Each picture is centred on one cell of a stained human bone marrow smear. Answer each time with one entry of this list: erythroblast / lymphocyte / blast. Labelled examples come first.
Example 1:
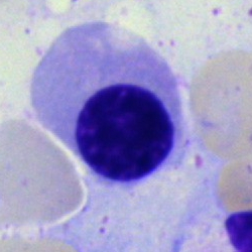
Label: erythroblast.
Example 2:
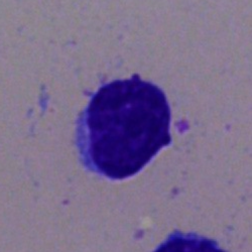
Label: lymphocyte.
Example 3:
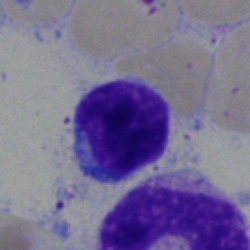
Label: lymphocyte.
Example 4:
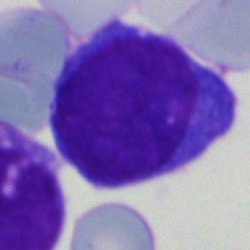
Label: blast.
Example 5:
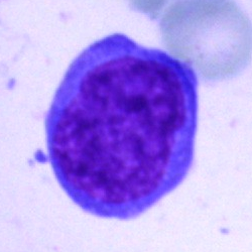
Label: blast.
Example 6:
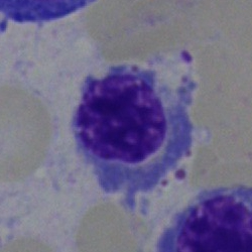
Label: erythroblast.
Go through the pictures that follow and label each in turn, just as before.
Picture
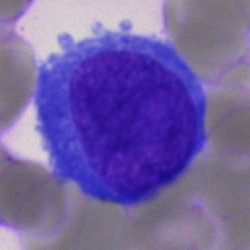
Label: blast.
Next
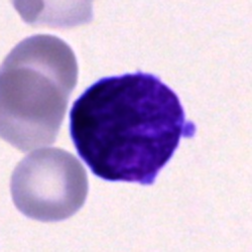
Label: blast.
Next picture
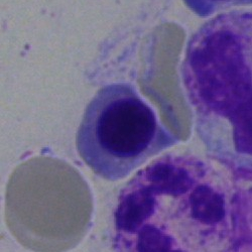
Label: erythroblast.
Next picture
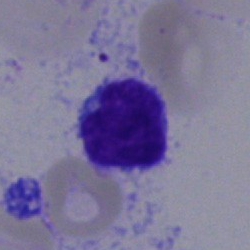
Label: lymphocyte.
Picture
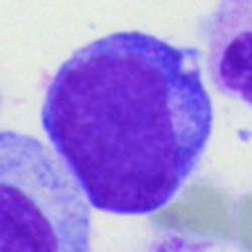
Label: blast.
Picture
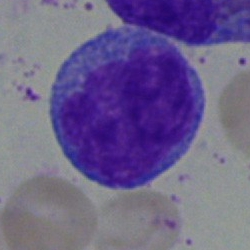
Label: blast.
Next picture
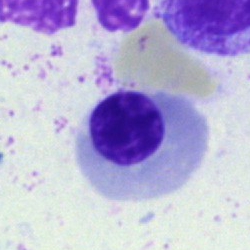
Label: erythroblast.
